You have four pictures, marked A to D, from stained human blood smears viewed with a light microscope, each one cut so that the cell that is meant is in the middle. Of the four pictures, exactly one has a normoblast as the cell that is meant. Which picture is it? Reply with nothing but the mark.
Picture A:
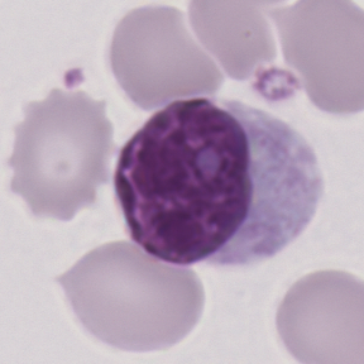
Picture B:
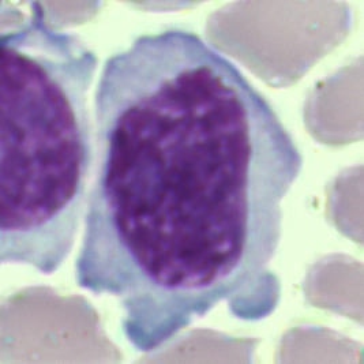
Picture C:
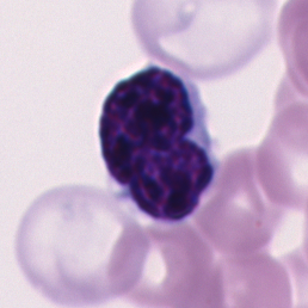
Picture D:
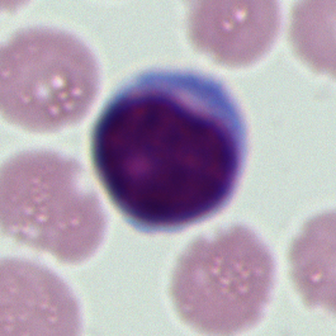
C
